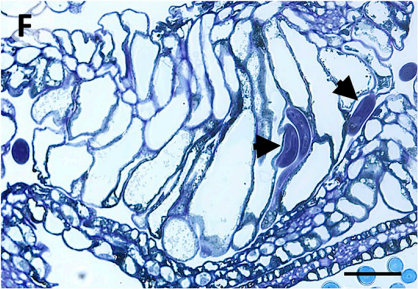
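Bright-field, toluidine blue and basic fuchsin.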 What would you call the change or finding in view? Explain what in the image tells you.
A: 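Very large, elongated thin-walled cells fill most of the panel. A layer of small cells runs along the bottom edge.
Answer: hypertrophy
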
